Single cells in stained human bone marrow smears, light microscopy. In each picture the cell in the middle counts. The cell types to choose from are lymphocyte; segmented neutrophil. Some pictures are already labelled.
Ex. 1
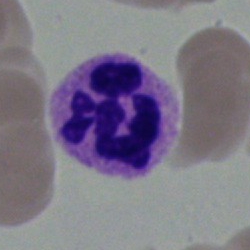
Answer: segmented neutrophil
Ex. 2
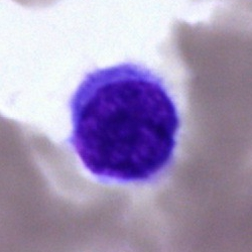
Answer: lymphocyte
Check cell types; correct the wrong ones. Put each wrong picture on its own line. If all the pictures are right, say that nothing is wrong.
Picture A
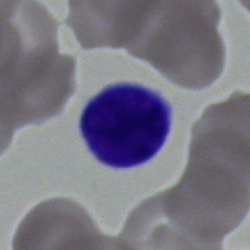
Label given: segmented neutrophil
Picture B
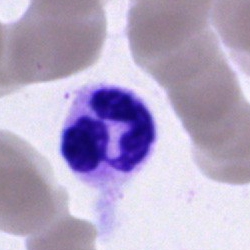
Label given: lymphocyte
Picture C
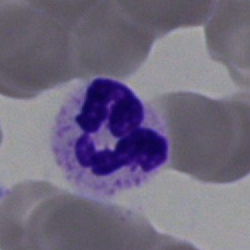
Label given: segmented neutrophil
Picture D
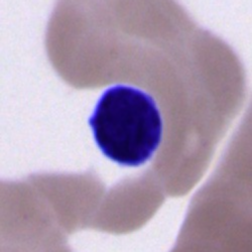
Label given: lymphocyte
Wrong: A (segmented neutrophil); correct: lymphocyte
Wrong: B (lymphocyte); correct: segmented neutrophil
